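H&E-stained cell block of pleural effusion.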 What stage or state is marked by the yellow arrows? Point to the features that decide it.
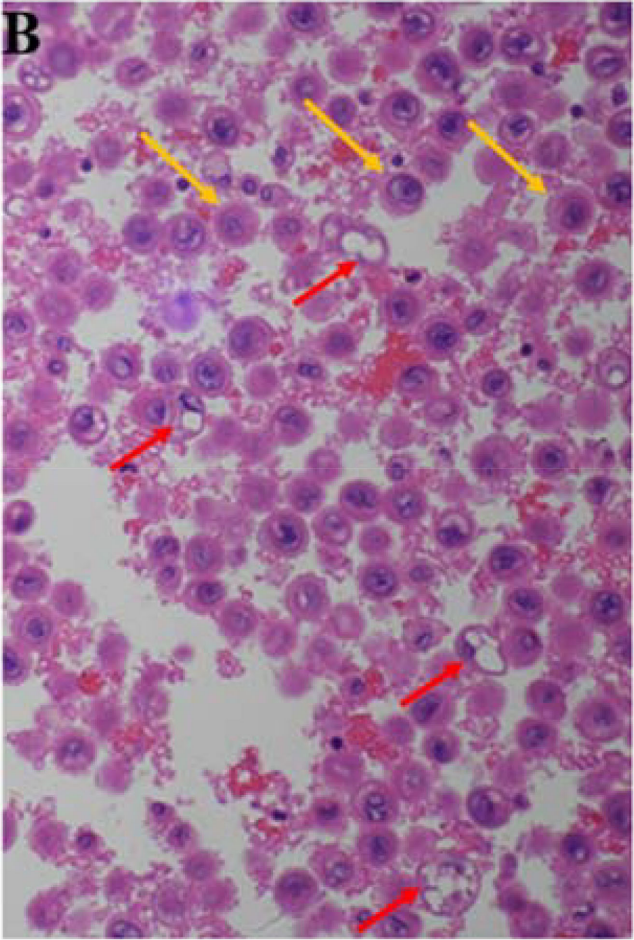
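Each marked cell has a broad rim of pink cytoplasm around the nucleus. On this evidence: plasmacytoid features.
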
